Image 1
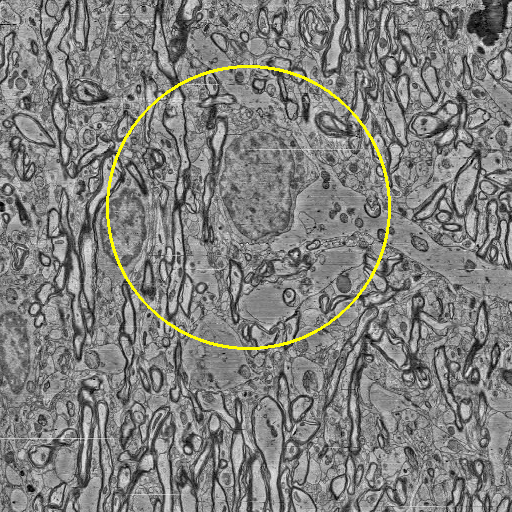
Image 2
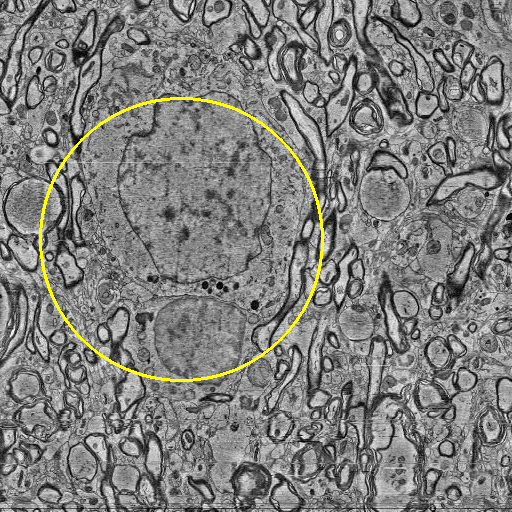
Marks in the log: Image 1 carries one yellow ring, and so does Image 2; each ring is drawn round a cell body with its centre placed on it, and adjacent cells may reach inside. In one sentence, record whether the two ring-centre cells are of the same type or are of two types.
The two cells at the ring centres, one in each image, are of two types.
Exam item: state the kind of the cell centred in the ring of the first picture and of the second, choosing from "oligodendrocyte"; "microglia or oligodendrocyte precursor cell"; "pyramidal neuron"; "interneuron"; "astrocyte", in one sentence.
The first picture shows an oligodendrocyte at the ring centre and the second shows a pyramidal neuron.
